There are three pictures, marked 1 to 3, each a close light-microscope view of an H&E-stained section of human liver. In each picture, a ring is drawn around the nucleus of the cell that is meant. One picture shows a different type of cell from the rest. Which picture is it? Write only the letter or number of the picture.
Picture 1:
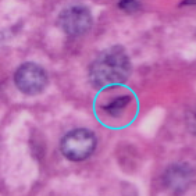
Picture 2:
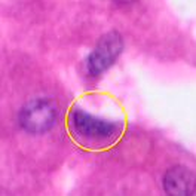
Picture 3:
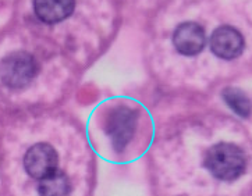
3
